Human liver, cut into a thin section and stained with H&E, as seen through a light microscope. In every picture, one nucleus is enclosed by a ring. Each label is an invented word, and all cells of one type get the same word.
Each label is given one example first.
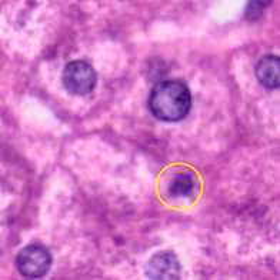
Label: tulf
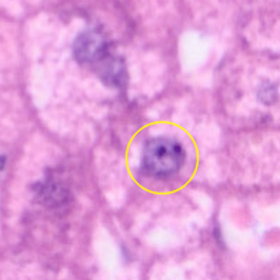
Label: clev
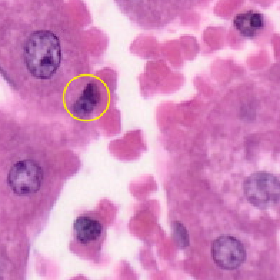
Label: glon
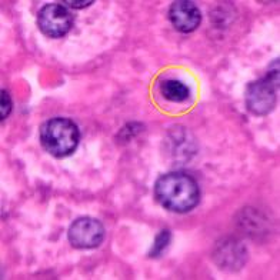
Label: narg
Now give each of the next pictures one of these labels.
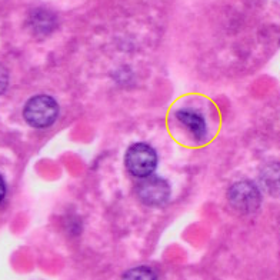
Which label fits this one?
tulf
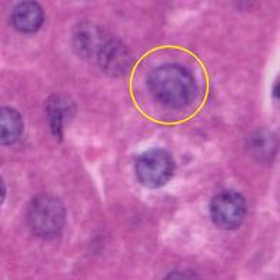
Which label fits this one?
clev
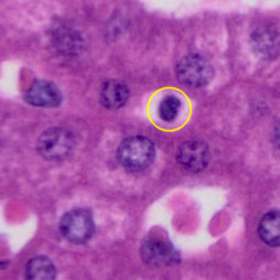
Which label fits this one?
narg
